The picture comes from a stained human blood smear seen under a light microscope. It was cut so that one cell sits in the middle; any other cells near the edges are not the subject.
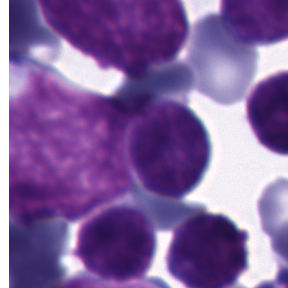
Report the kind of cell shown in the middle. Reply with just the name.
myeloblast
